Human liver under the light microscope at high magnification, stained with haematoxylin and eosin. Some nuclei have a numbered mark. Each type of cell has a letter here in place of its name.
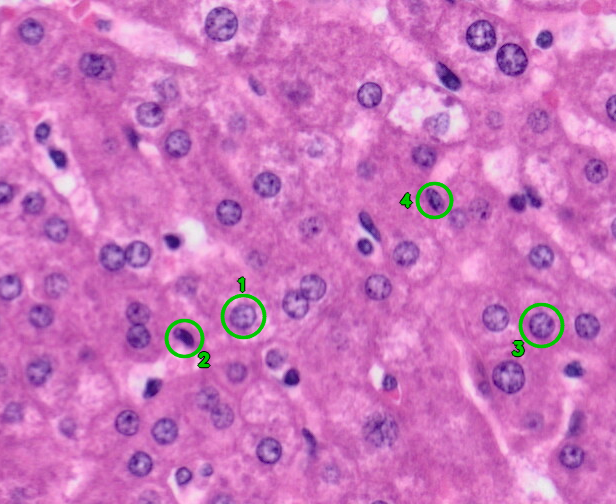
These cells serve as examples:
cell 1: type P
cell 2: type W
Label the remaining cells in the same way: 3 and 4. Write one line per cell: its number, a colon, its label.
3: type P
4: type W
